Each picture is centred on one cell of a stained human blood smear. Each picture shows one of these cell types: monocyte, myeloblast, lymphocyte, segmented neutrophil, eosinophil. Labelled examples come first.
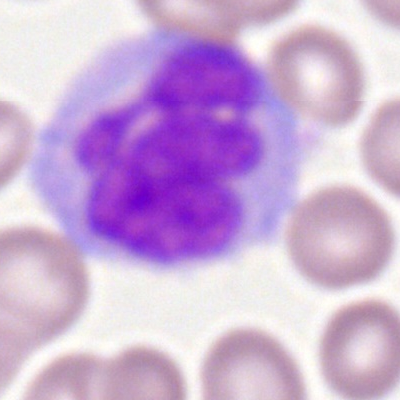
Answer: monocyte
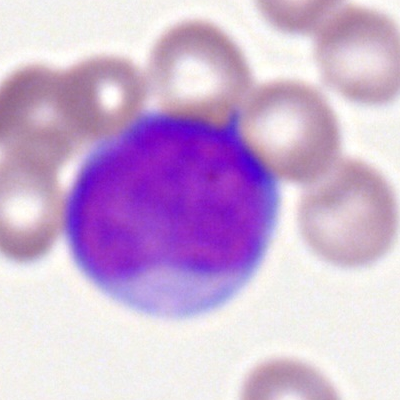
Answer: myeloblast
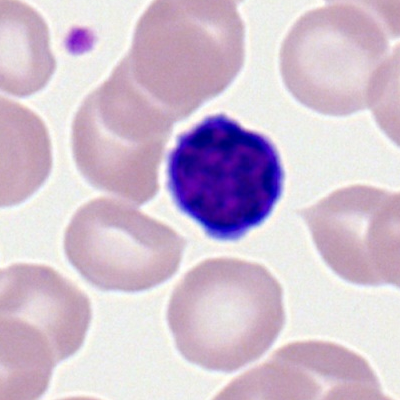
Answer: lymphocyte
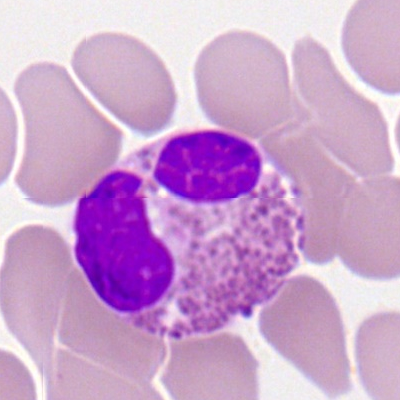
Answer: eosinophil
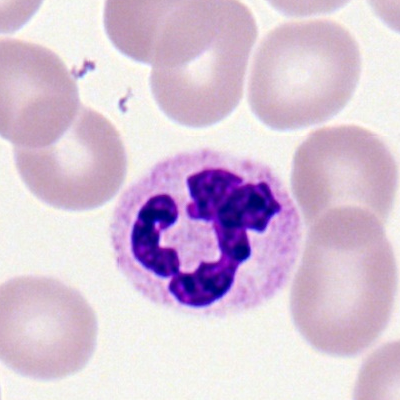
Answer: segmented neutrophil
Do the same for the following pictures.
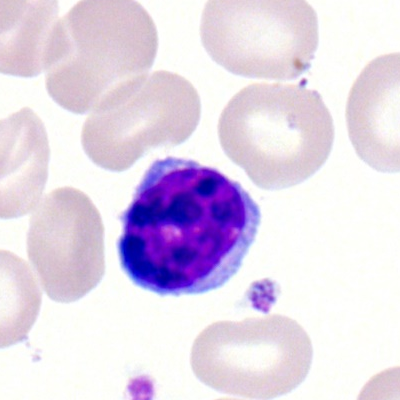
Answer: lymphocyte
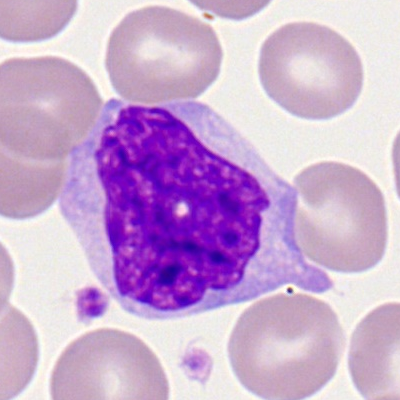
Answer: monocyte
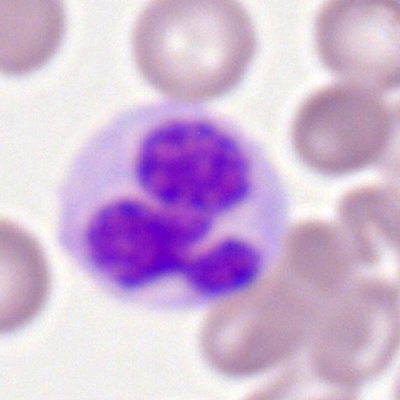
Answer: monocyte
